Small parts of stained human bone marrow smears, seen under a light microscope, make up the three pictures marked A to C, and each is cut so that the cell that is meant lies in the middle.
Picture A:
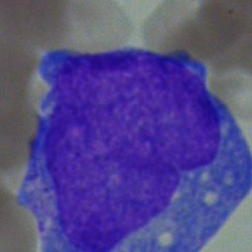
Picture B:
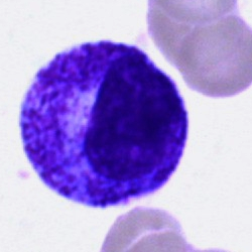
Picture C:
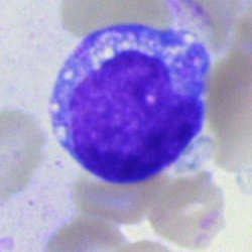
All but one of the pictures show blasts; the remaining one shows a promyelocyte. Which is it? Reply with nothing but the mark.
B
